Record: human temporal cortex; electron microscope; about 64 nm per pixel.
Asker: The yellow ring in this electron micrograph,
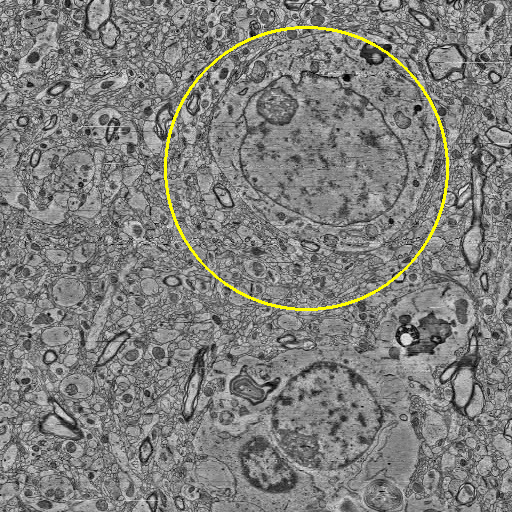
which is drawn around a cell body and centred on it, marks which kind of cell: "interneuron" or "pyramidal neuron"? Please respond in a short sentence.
The marked cell is a pyramidal neuron.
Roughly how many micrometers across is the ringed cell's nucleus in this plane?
The nucleus is approximately 12 micrometers long by 9 micrometers wide in this plane.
